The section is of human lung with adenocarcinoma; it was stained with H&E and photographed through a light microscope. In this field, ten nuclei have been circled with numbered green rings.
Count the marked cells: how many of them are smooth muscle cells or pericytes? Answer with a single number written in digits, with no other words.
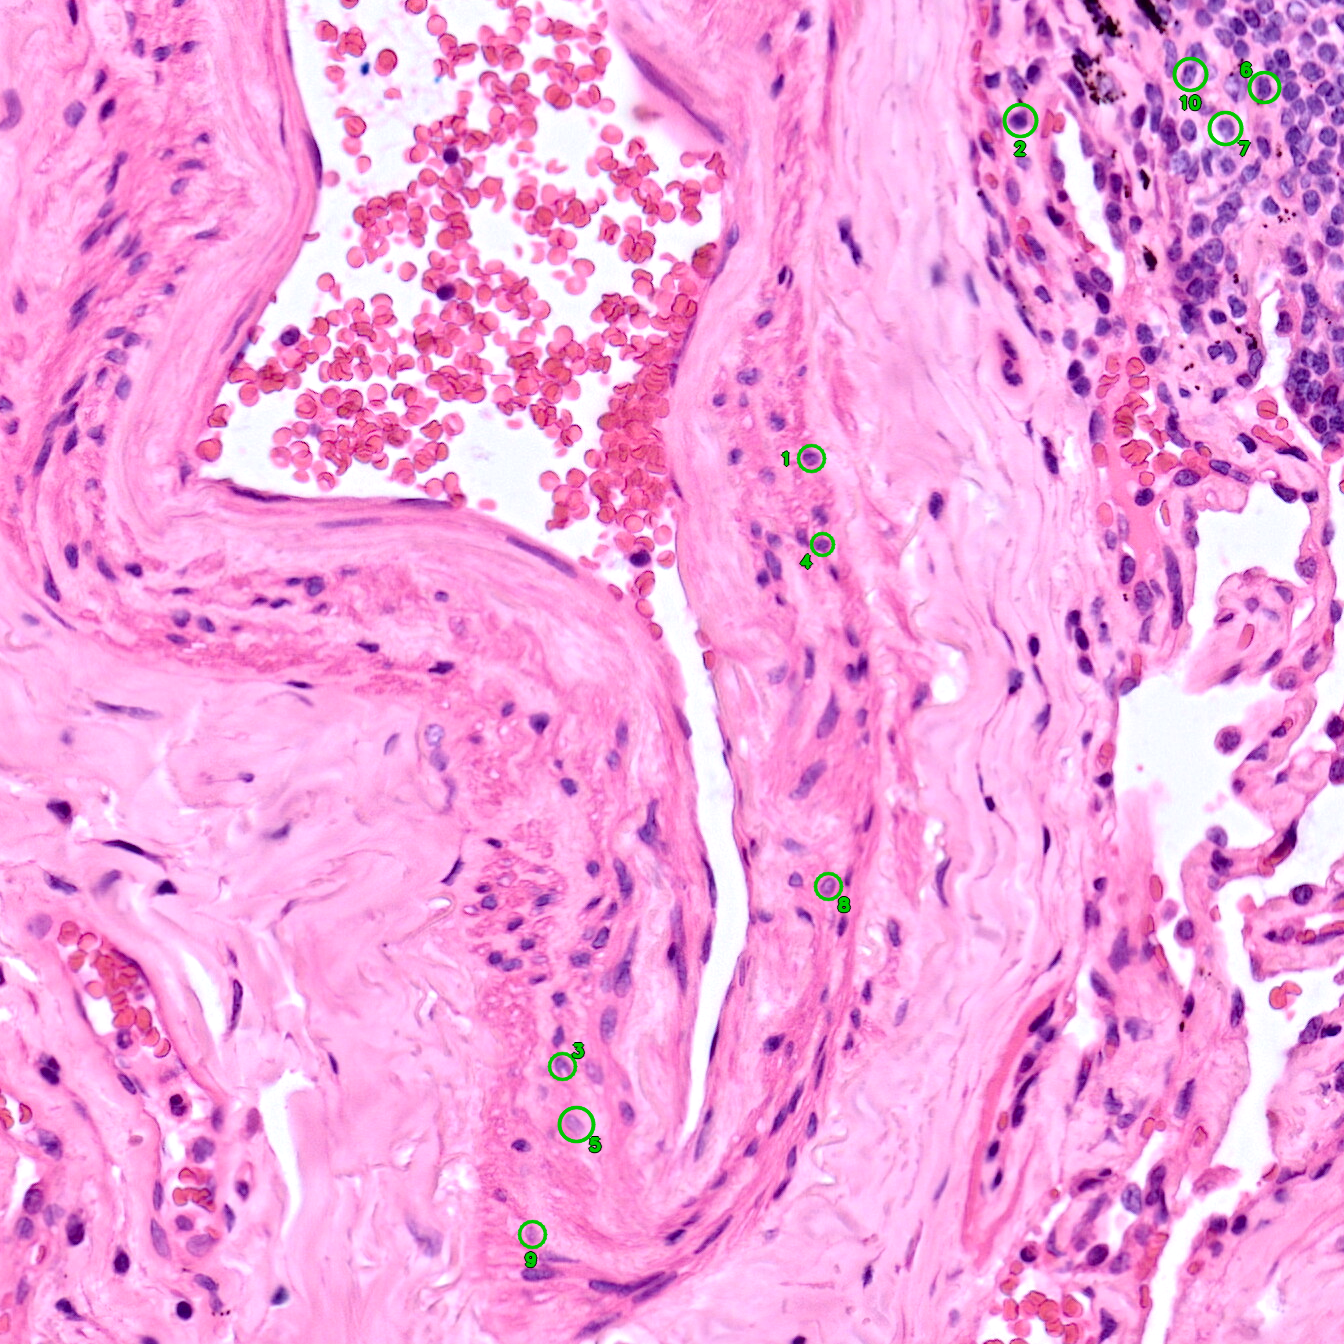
6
